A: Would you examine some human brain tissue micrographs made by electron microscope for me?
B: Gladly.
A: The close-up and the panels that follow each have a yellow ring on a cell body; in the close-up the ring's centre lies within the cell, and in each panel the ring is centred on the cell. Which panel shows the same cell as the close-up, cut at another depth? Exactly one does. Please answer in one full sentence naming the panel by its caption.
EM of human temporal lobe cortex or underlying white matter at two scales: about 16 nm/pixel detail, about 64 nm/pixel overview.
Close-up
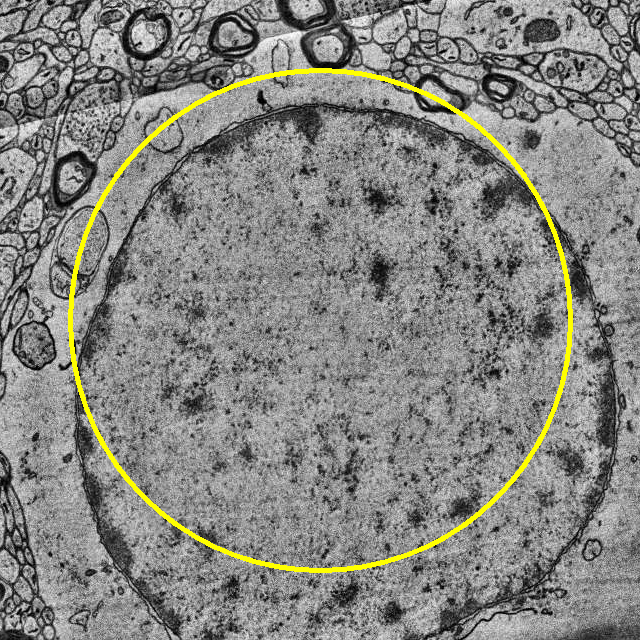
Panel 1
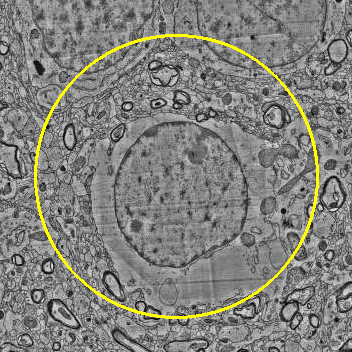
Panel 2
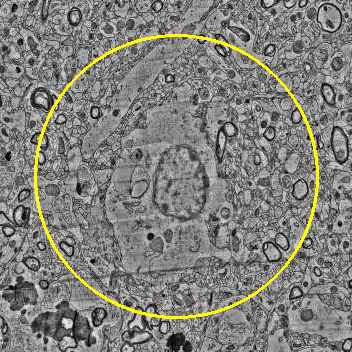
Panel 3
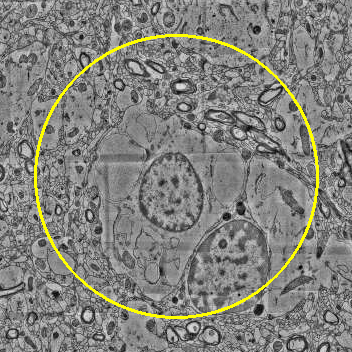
The close-up pictures the cell encircled in Panel 1.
